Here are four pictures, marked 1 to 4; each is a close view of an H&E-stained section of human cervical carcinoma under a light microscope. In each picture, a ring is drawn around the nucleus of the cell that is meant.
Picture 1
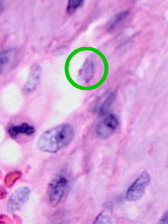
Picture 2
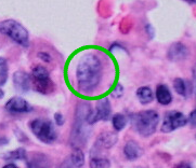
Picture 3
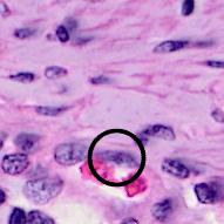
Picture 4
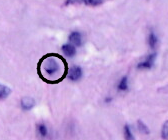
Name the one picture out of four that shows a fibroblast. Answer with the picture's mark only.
4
